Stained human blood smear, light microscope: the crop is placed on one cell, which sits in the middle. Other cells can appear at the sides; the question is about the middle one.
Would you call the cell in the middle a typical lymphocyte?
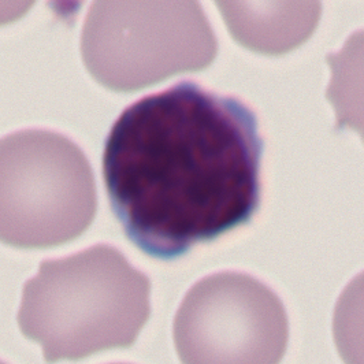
yes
